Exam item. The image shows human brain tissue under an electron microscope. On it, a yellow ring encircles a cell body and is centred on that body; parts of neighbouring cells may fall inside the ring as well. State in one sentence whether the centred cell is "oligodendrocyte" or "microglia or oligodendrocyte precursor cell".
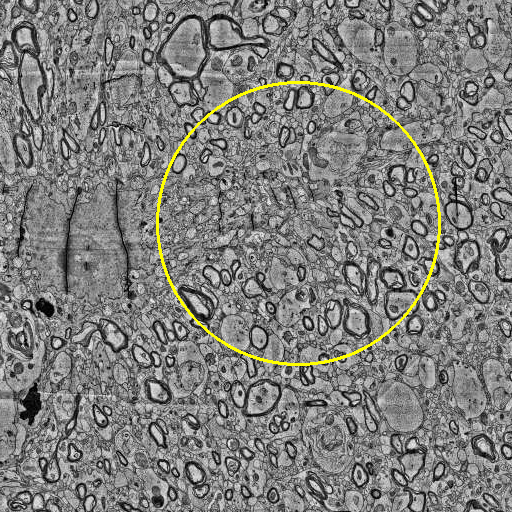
The cell body centred in the ring is a microglial cell or oligodendrocyte precursor cell.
